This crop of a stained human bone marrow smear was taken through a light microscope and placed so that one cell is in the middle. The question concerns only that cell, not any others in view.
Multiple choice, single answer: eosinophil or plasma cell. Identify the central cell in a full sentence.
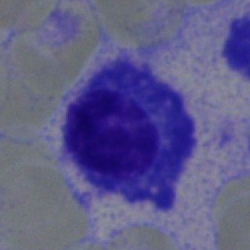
The cell found in the middle of this crop is a plasma cell.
